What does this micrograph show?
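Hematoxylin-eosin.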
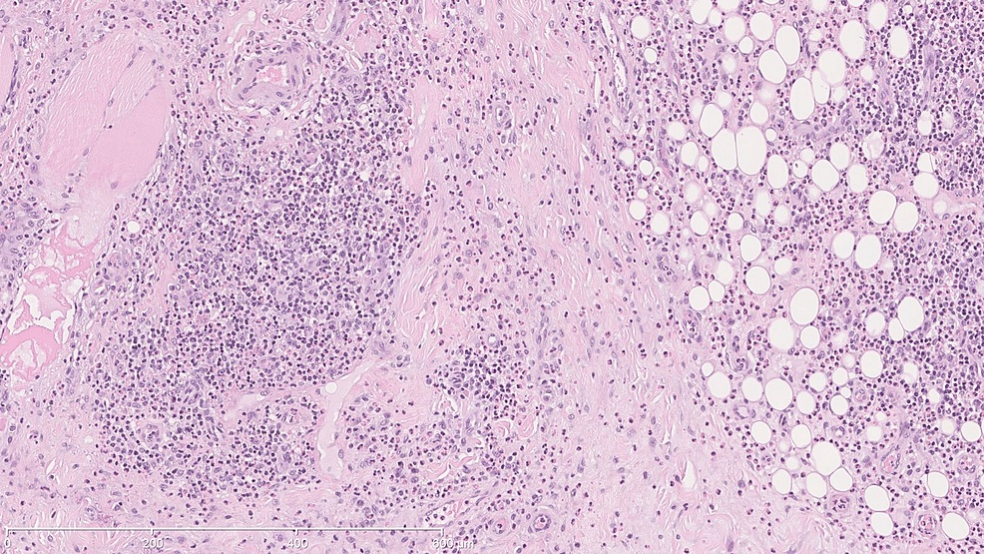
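This is fibroadipose tissue with a heavy infiltrate of inflammatory cells. On the right, clear round fat vacuoles of varying size are separated by septa packed with small cells that have dark nuclei and pink cytoplasm. On the left, a dense, roughly oval aggregate of similar inflammatory cells lies within pink collagenous stroma. Between the two areas, the fibrous tissue holds loosely scattered inflammatory cells and a few small blood vessels. At the upper left edge is a band of homogeneous, pale pink, acellular material.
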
